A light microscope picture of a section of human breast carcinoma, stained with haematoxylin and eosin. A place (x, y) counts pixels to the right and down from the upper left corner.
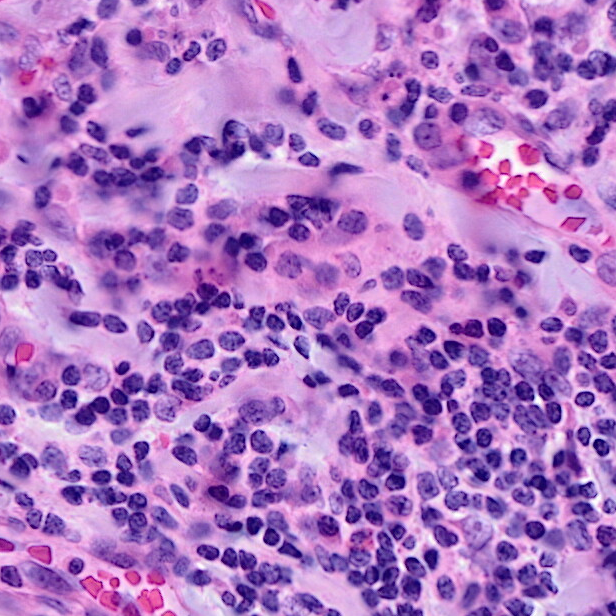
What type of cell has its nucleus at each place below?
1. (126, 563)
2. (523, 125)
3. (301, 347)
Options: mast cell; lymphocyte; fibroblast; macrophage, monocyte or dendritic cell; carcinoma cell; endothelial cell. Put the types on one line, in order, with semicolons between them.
endothelial cell; endothelial cell; lymphocyte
